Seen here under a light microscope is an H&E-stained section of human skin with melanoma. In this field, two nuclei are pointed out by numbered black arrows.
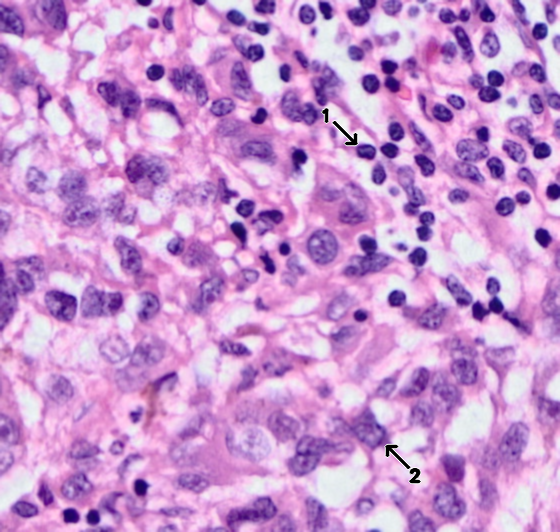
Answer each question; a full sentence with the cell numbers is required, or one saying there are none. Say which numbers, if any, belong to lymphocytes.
Only the cell numbered 1 is a lymphocyte, and the others are something else.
